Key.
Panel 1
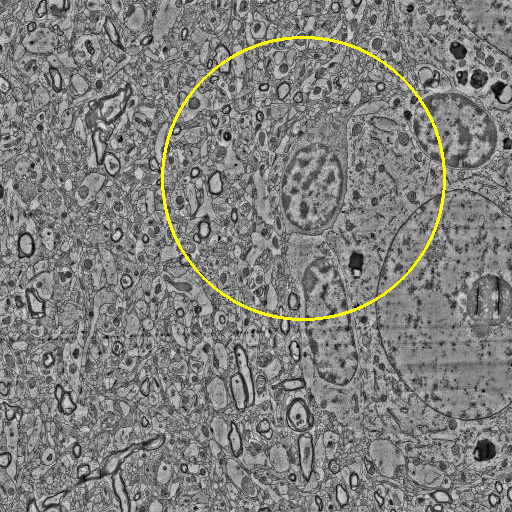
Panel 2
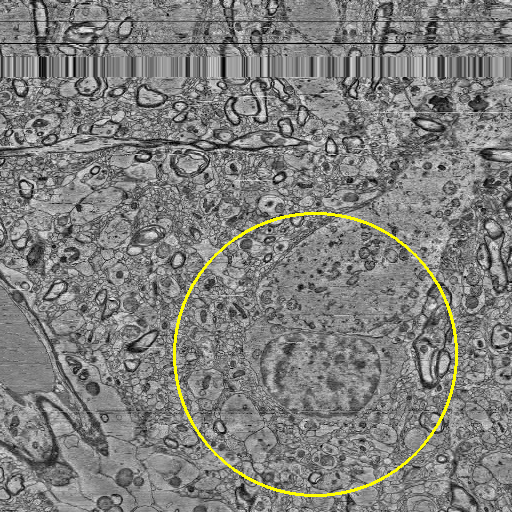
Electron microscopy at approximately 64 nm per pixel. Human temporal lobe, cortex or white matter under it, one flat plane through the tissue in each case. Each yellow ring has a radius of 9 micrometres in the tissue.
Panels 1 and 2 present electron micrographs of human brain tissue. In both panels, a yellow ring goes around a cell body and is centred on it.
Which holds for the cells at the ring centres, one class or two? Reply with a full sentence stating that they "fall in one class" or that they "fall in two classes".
Taken together, the ring-centre cells of the two panels fall in one class.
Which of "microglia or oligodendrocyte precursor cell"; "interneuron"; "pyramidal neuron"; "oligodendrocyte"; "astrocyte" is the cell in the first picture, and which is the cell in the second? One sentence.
Each of the ringed cells, first and second, is an oligodendrocyte.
